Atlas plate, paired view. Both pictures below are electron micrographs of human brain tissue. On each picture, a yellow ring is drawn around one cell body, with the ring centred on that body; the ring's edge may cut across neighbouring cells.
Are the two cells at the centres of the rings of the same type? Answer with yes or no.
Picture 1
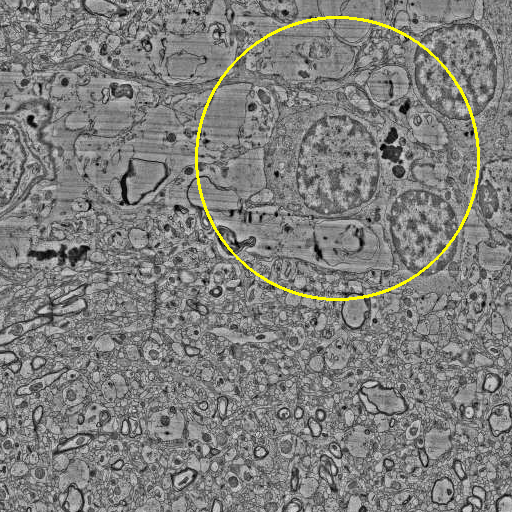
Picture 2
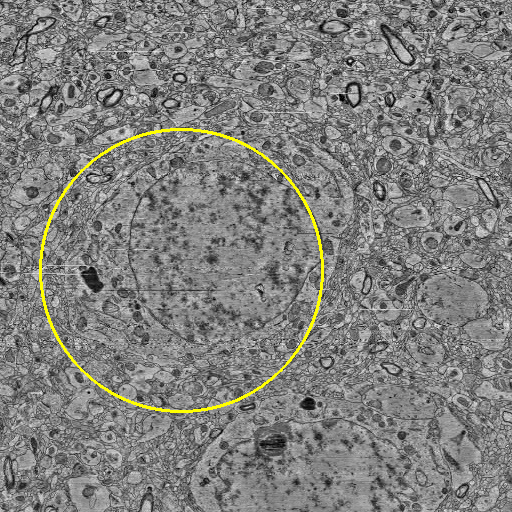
no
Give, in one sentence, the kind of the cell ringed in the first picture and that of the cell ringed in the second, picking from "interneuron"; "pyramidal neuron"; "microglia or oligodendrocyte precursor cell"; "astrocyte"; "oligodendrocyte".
For the first picture it is an oligodendrocyte; for the second, an interneuron.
